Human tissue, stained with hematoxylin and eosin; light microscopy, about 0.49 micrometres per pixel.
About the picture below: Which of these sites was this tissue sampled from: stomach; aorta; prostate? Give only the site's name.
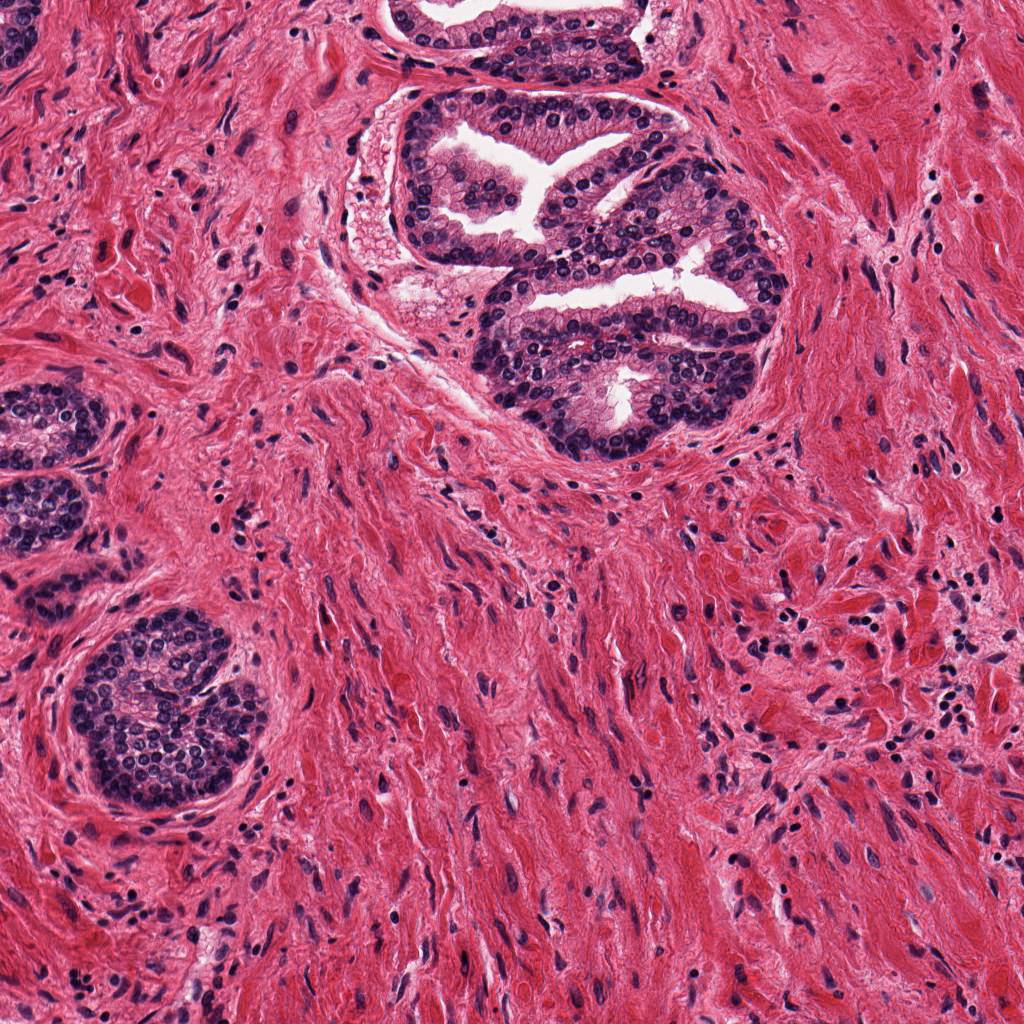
prostate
